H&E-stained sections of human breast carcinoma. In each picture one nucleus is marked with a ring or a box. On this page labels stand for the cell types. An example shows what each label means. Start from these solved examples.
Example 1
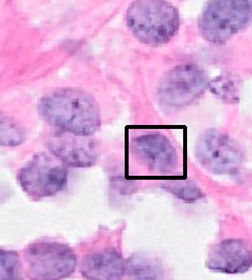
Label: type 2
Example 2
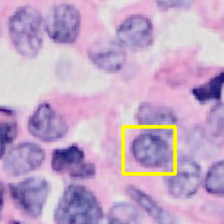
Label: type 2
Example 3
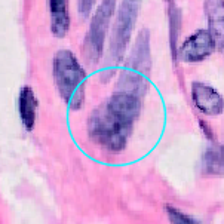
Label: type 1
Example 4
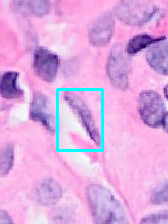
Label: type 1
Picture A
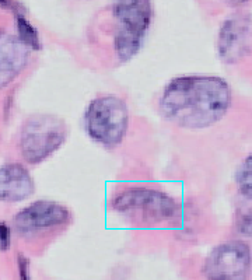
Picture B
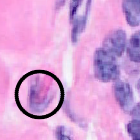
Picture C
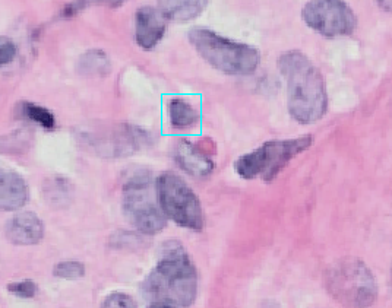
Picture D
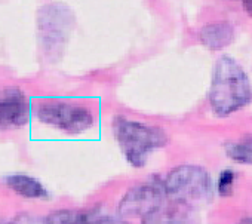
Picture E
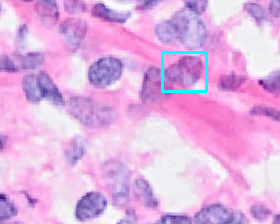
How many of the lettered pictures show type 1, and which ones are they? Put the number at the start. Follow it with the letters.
Count: 2 (B, C)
